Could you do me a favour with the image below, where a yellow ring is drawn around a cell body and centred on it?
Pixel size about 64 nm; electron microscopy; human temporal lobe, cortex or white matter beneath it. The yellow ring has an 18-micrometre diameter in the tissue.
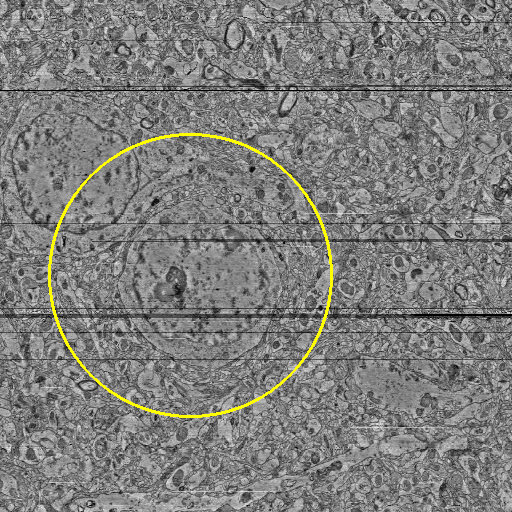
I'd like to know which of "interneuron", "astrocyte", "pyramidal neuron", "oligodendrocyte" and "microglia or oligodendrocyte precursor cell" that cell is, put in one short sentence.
The cell at the ring's centre is an interneuron.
